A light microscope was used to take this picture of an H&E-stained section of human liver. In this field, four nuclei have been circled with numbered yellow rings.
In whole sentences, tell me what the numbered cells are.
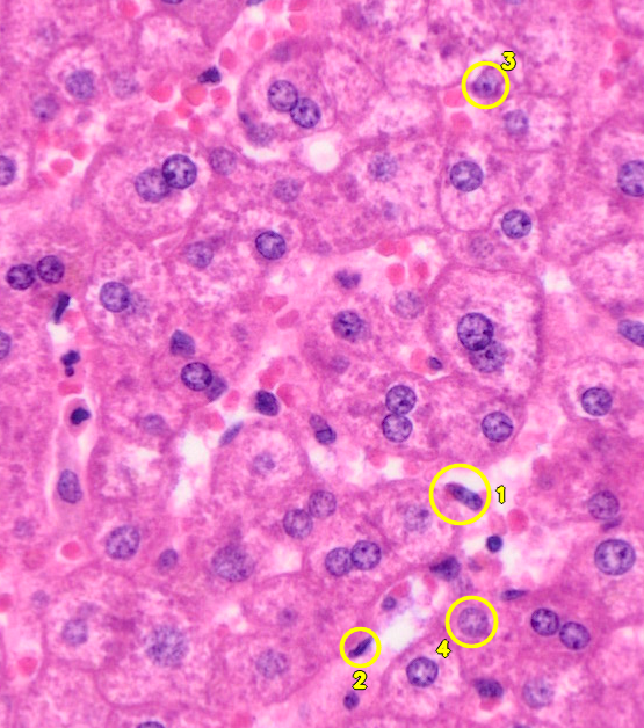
Cell 1 is a Kupffer cell. Cell 2 is an endothelial cell. Cells 3 and 4 are hepatocytes.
